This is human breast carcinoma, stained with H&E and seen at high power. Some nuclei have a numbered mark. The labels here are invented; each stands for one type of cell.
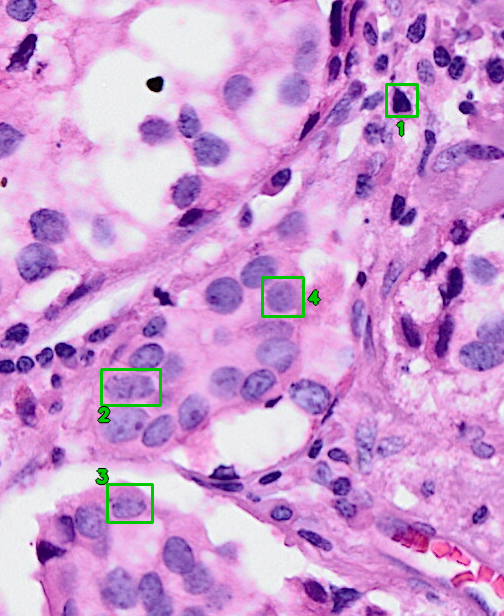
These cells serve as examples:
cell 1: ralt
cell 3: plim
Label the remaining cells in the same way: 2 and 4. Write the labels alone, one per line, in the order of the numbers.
plim
plim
